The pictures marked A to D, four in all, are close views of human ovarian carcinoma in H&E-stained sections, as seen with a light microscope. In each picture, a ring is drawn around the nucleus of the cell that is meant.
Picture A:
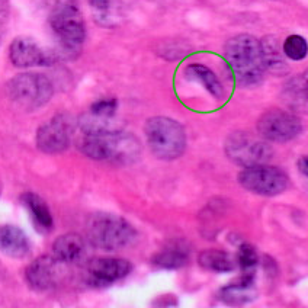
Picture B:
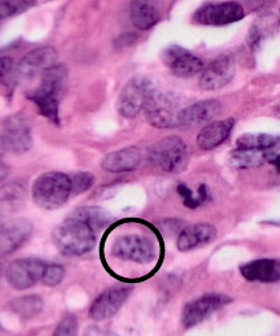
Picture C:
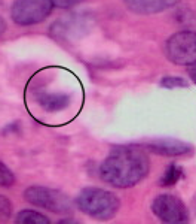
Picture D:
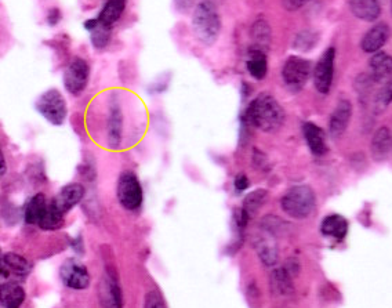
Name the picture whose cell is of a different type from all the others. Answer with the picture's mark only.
A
